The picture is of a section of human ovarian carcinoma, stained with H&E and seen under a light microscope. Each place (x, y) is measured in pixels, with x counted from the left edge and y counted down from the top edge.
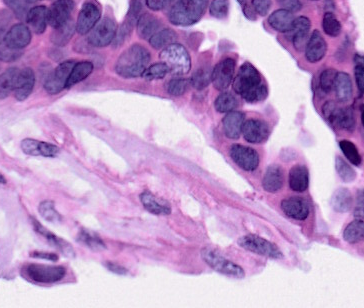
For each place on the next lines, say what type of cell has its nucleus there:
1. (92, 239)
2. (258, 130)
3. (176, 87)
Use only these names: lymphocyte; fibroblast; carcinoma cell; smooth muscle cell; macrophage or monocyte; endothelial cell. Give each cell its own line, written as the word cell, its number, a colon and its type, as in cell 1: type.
cell 1: fibroblast
cell 2: carcinoma cell
cell 3: carcinoma cell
